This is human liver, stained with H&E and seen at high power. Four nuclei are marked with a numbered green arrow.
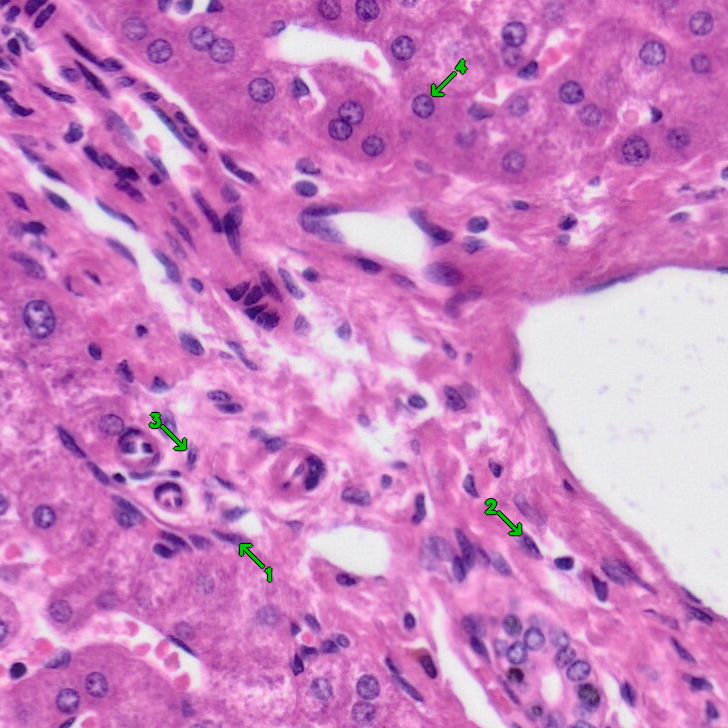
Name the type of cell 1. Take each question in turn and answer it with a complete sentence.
The expected answer is that cell 1 is a fibroblast or stellate cell.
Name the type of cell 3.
Recognised here as a fibroblast or stellate cell is the cell numbered 3.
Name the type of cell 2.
Heads up, the cell numbered 2 is a fibroblast or stellate cell.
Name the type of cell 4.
The cell indicated by marker 4 is a hepatocyte in this section.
